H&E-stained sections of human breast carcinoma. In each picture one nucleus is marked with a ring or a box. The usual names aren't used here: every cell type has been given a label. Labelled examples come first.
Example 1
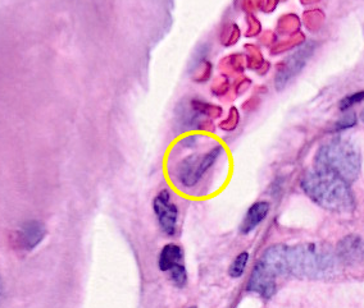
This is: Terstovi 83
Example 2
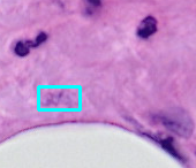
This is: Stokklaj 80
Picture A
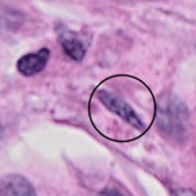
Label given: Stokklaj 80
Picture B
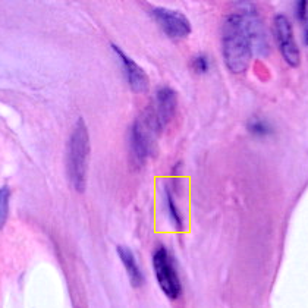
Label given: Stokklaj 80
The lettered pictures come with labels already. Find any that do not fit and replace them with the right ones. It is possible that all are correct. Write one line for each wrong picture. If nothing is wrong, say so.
All labels are correct.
